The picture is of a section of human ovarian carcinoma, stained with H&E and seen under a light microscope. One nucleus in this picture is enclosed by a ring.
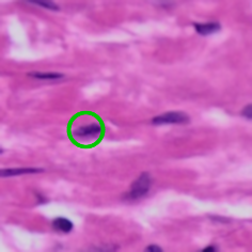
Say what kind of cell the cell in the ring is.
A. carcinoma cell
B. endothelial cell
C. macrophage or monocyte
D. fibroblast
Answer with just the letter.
D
